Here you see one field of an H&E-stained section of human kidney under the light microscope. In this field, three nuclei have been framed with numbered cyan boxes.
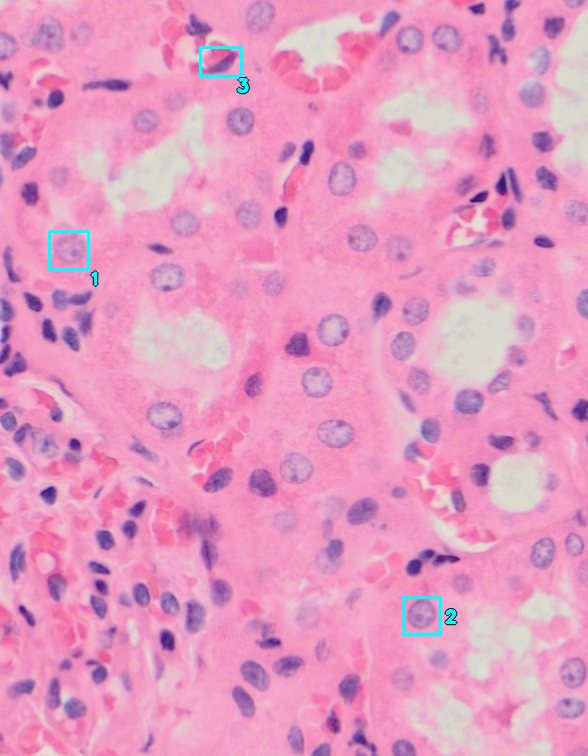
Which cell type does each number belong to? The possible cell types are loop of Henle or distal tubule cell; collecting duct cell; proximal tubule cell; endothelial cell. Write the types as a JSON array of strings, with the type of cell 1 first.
["proximal tubule cell", "proximal tubule cell", "endothelial cell"]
